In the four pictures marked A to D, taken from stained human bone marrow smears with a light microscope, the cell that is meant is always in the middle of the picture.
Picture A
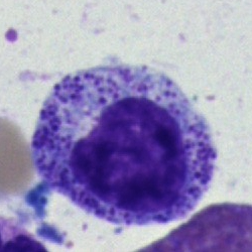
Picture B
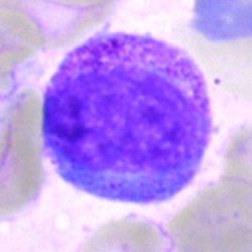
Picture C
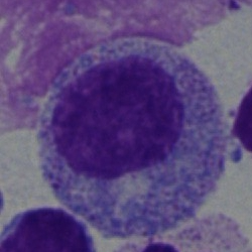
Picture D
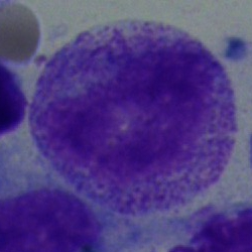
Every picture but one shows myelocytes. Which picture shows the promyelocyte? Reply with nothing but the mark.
C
